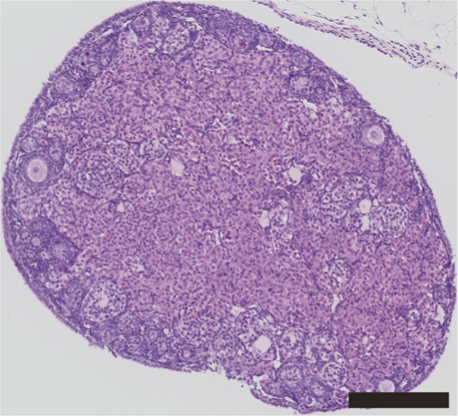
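A whole cross-section of an ovary stained with haematoxylin and eosin, oval in outline and bounded by a thin surface layer. Numerous small round follicles lie scattered through the section, most densely toward the periphery. A few follicles are larger, with several cell layers around the oocyte. Between the follicles the ovary is filled with densely packed stromal tissue of pink cytoplasm and purple nuclei. Small clear spaces are scattered through the tissue, and a strip of loose connective tissue lies outside the upper right edge.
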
